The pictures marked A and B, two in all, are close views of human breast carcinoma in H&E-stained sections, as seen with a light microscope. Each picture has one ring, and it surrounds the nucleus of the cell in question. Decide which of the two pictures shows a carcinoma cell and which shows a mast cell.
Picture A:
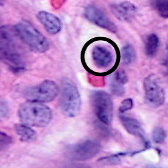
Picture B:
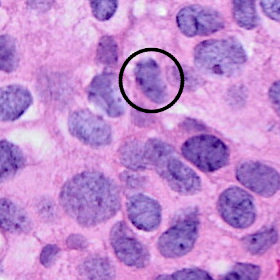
A: mast cell
B: carcinoma cell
